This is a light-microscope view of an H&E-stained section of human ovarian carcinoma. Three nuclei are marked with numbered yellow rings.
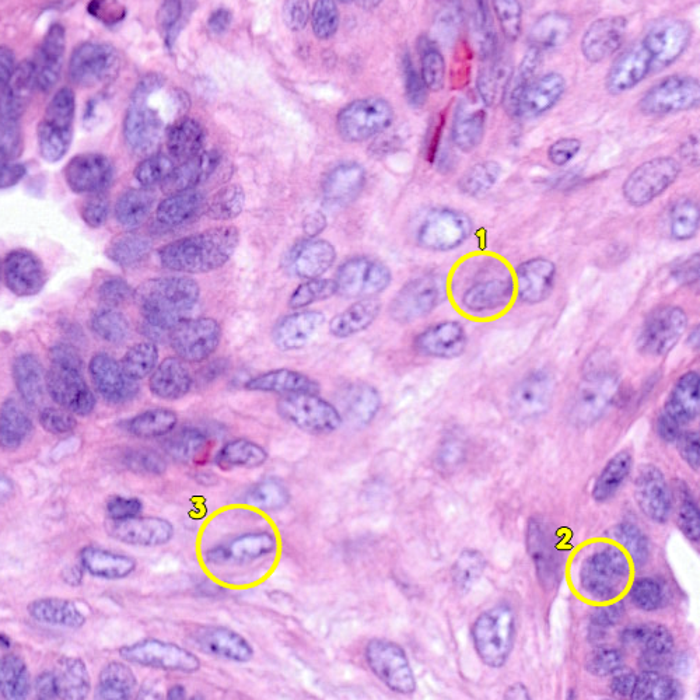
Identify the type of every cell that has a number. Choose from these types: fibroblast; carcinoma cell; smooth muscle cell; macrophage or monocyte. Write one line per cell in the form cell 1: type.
cell 1: fibroblast
cell 2: carcinoma cell
cell 3: fibroblast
